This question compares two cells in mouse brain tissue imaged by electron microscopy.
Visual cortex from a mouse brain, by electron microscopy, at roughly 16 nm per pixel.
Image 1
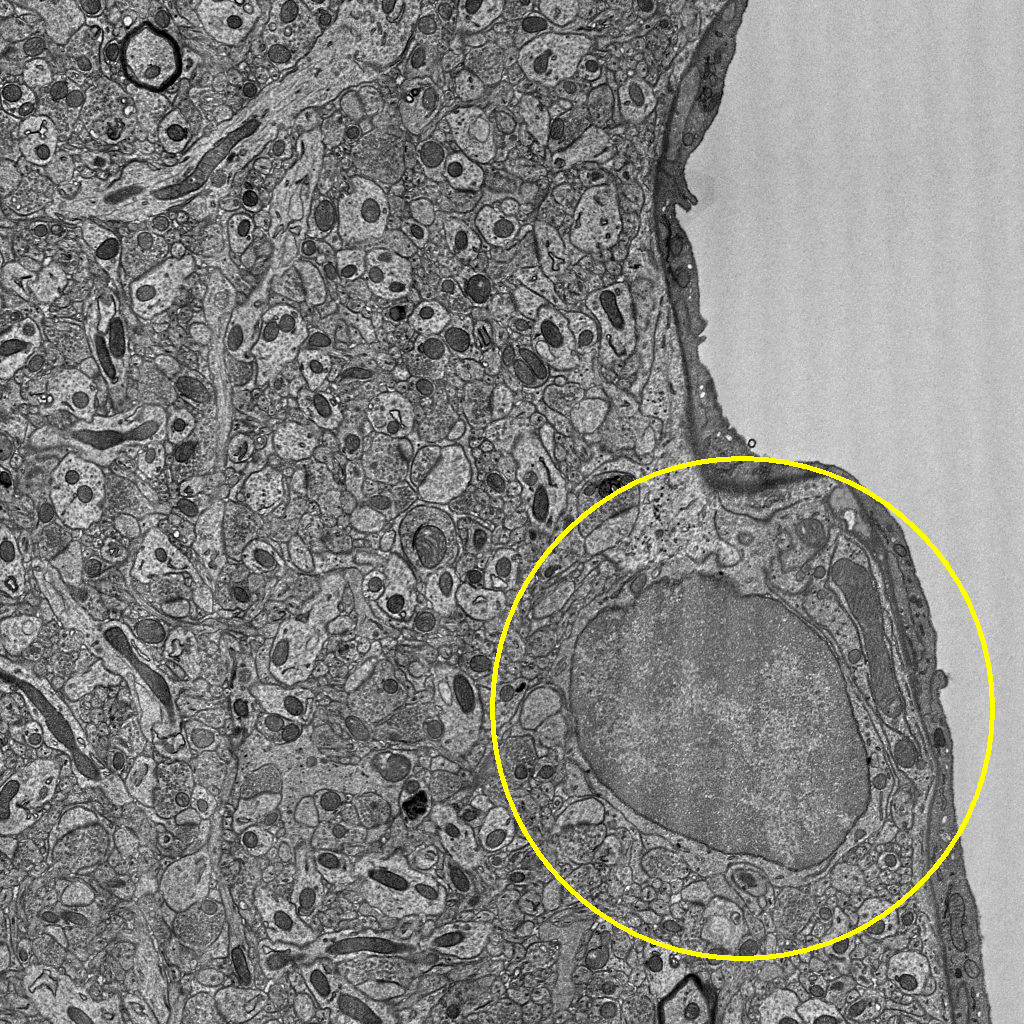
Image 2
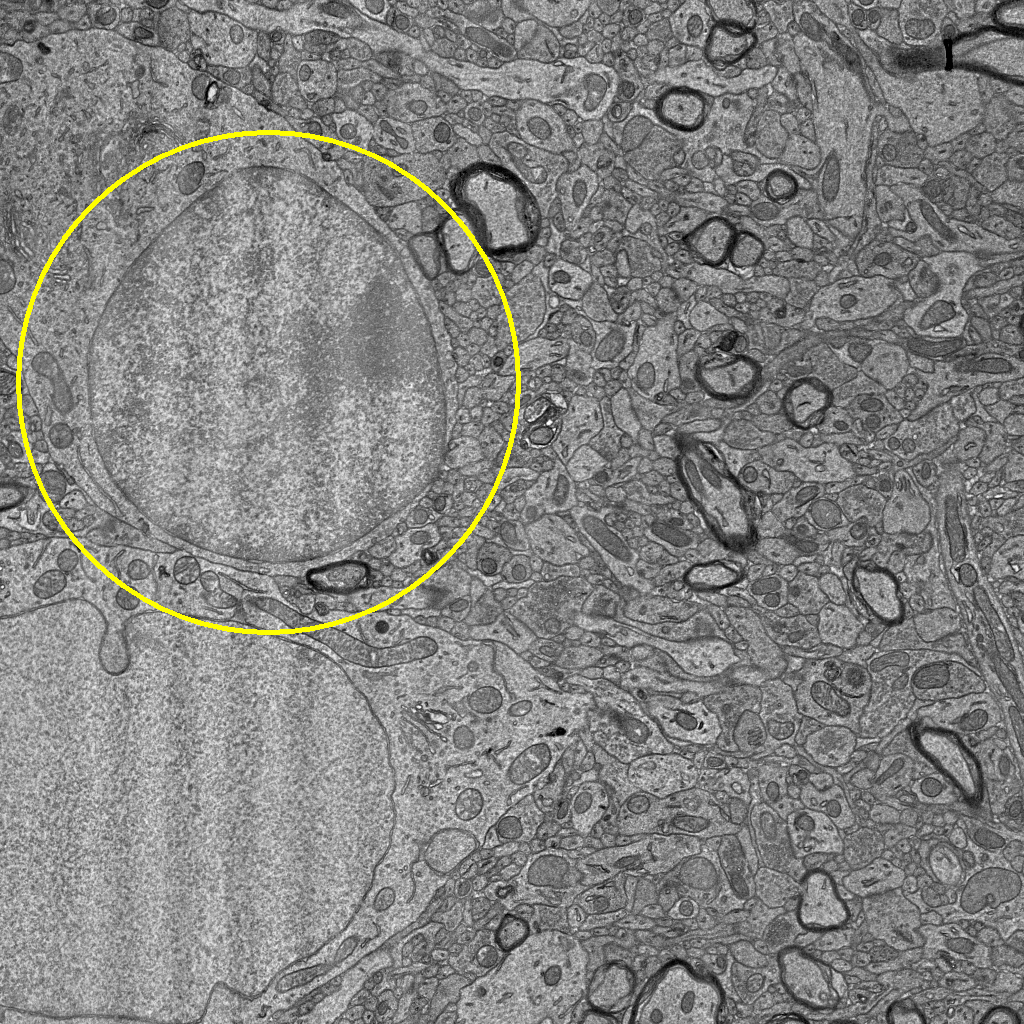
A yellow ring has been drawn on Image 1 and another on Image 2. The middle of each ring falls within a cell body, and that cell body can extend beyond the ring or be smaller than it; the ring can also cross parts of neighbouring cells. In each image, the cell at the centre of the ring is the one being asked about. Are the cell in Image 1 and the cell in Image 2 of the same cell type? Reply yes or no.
no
